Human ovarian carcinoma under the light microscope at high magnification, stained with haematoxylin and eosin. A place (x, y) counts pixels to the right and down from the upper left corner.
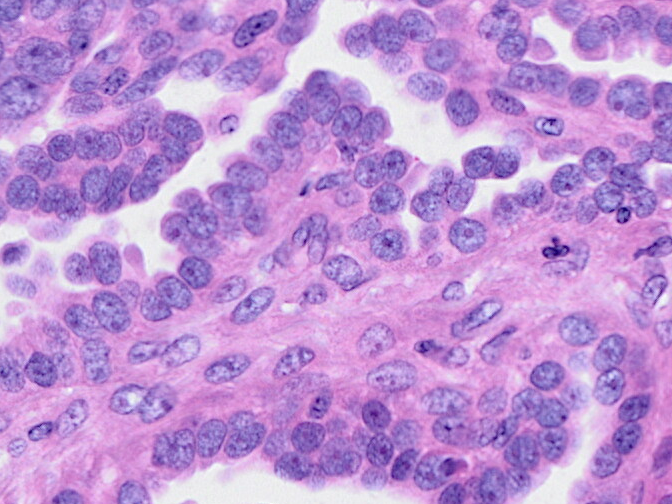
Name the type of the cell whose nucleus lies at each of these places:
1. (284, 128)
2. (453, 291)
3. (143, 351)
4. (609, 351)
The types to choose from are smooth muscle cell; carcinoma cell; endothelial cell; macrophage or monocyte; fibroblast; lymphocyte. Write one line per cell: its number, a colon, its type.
1: carcinoma cell
2: fibroblast
3: fibroblast
4: carcinoma cell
